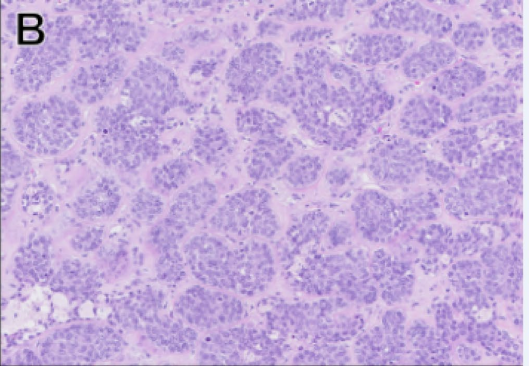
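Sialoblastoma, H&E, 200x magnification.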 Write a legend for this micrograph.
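Nests of basaloid tumor cells lie in a pale pink, loose stroma. The nests are rounded to irregular and vary in size, some touching their neighbours. The cells are crowded, with round to oval purple nuclei that vary only mildly in size and shape, and scant, pale purplish cytoplasm, so that nuclei dominate each nest. A few small lumen-like spaces appear within some nests. Between nests the stroma is lightly eosinophilic with scattered spindle-shaped stromal nuclei, and a few clear, fat-like spaces are present at the lower left edge.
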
